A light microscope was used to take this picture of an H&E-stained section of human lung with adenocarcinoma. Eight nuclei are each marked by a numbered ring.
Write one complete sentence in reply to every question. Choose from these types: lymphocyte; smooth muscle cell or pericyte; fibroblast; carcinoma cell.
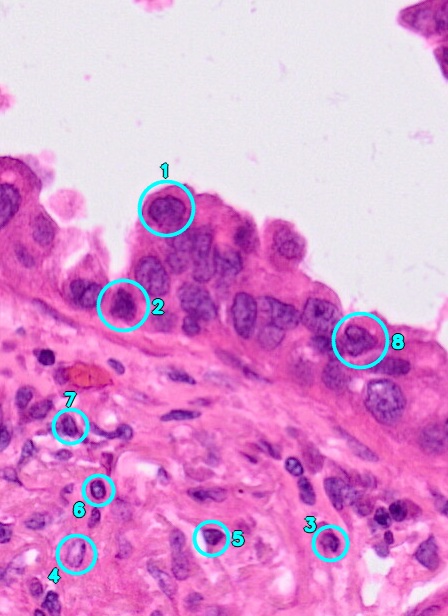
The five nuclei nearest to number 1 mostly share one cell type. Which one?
Carcinoma cells make up most of the five nuclei closest to number 1.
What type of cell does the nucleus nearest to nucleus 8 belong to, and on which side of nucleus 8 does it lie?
The closest nucleus belongs to a carcinoma cell and sits to the left of nucleus 8.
